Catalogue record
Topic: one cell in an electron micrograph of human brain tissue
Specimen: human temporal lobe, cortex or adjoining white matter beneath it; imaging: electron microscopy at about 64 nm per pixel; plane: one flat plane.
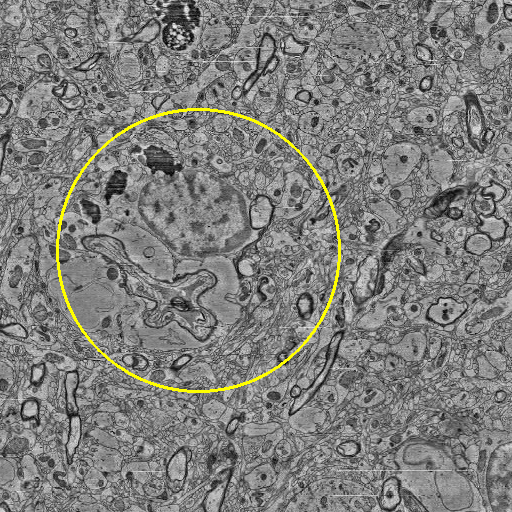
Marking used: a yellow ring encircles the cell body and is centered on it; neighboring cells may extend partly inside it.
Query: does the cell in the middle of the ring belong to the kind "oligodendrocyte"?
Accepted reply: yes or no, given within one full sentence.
Yes, the cell centered in the ring in the picture is of that kind.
